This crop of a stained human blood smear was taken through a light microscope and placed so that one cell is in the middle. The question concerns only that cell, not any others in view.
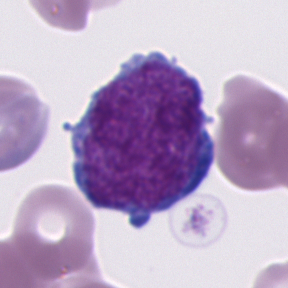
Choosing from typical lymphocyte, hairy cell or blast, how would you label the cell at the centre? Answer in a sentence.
In the middle of this smear crop is a blast.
